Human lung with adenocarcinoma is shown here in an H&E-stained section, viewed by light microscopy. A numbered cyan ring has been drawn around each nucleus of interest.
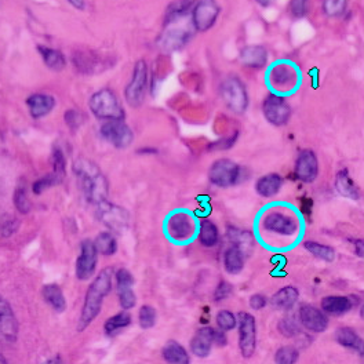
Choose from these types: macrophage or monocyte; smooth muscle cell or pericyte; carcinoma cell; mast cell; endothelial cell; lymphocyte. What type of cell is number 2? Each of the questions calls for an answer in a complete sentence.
Identified as a lymphocyte is the cell bearing the number 2.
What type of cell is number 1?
The cell referred to as 1 is a smooth muscle cell or pericyte.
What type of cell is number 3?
In the tissue shown, cell 3 is a lymphocyte.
